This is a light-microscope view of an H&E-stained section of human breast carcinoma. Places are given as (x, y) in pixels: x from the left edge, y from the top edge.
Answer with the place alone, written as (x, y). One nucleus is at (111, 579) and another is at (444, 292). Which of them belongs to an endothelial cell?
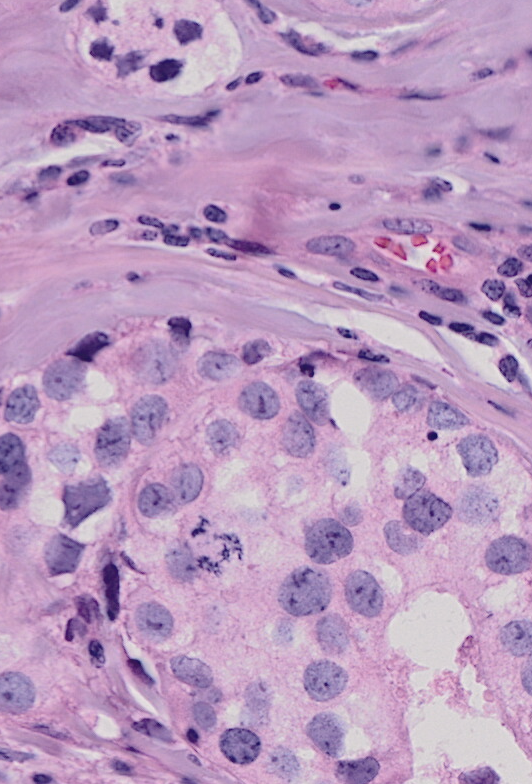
(444, 292)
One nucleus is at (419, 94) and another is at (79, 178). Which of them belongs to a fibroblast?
(419, 94)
